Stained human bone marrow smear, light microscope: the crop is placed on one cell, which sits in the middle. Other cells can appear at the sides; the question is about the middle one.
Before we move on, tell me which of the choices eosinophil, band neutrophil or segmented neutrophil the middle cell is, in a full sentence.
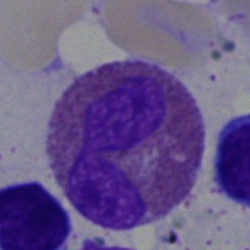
The cell in the middle of the field of view is an eosinophil.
